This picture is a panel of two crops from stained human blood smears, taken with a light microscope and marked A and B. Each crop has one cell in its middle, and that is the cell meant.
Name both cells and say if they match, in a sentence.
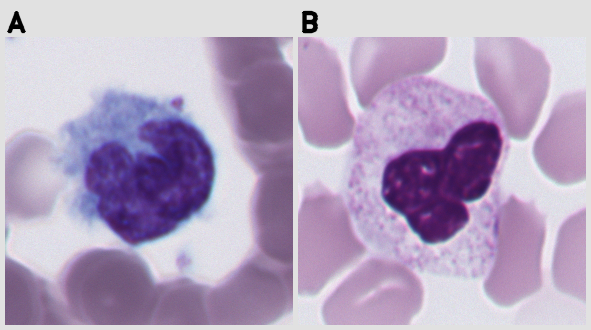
No, on this set crop A shows a monocyte and crop B shows a segmented neutrophil.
